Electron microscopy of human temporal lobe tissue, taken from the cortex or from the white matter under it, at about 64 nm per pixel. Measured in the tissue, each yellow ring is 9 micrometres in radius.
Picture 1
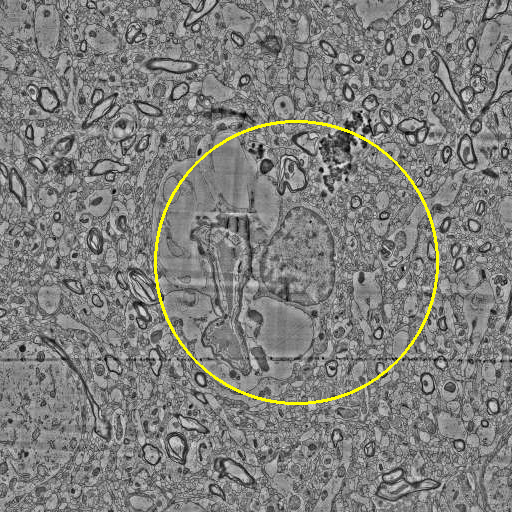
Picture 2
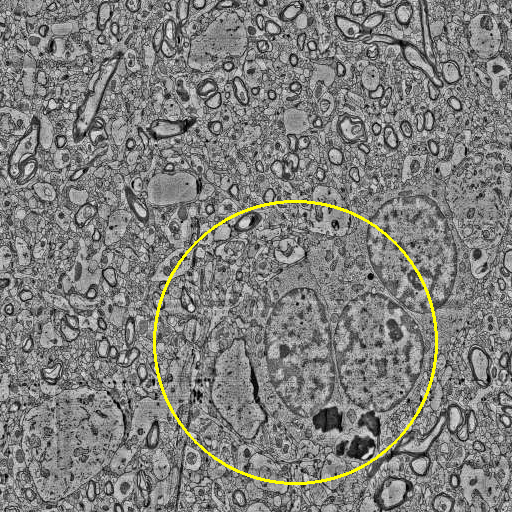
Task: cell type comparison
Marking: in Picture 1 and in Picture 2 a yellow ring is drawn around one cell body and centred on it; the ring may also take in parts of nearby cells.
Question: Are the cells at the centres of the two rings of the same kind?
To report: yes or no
yes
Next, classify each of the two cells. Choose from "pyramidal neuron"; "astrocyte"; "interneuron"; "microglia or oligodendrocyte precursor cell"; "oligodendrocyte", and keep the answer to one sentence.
The ring centre holds an oligodendrocyte in each of the two pictures.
